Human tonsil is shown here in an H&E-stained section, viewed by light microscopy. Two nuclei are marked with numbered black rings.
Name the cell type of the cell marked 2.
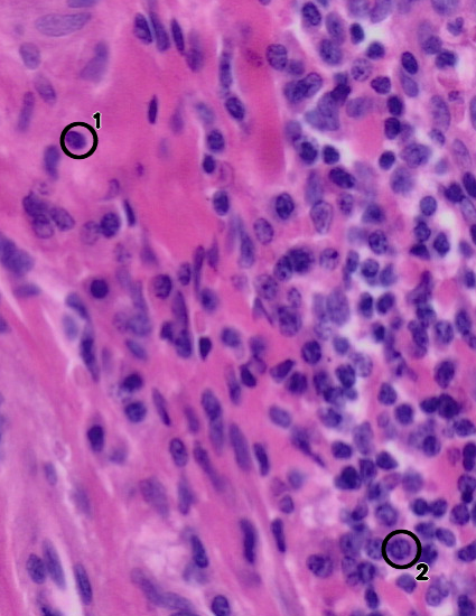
plasma cell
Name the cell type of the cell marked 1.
mast cell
